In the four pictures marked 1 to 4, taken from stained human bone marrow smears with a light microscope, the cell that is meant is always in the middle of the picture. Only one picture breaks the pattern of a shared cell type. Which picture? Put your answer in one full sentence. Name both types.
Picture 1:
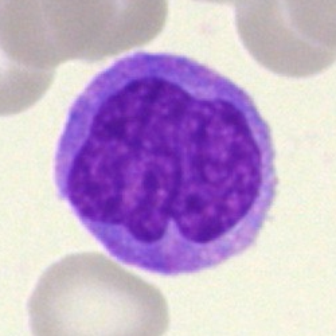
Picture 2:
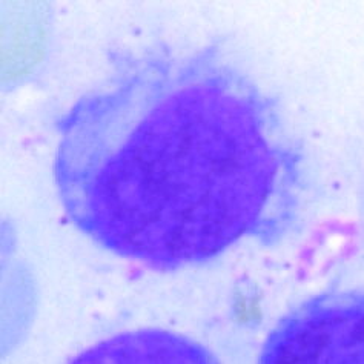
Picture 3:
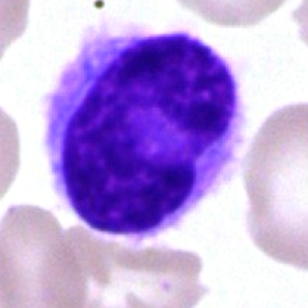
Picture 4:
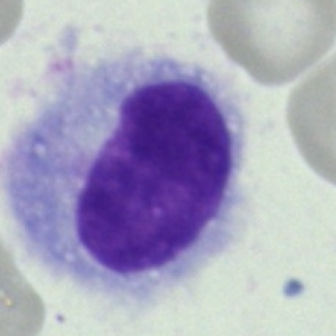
Picture 1 is the odd one out: it shows a monocyte, while the others show hairy cells.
